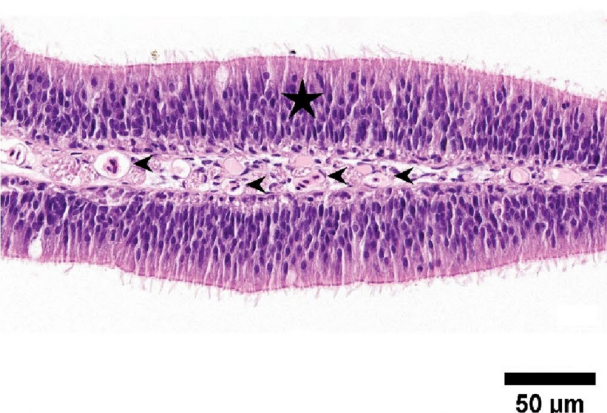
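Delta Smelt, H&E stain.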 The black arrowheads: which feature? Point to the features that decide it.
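Capillary vessels. Small round lumina with pink content lie in the central pale stroma. The lumina are lined by thin flat cells.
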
